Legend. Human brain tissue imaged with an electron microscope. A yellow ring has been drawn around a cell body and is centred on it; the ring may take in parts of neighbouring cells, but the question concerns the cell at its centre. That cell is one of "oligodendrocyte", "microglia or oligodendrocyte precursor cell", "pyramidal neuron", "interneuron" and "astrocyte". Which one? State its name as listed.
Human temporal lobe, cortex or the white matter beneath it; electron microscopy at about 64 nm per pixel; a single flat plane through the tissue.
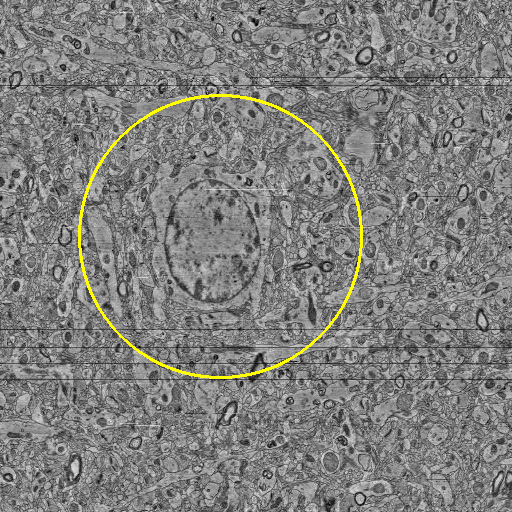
astrocyte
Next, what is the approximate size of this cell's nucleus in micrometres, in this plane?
In this plane, about 8 micrometres in length and 6 in width.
